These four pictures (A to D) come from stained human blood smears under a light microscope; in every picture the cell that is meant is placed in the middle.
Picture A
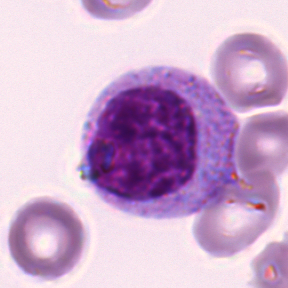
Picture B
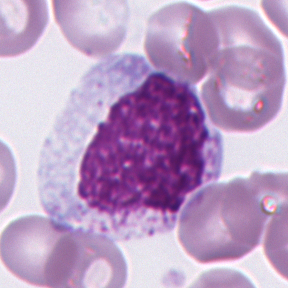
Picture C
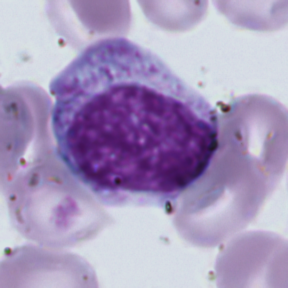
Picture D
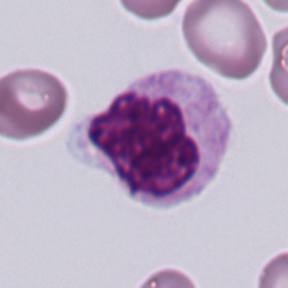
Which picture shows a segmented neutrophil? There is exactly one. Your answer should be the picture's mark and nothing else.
D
